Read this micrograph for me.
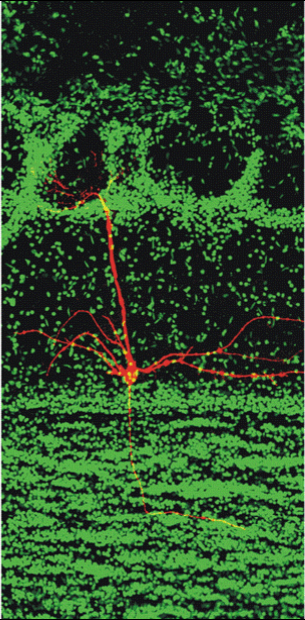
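Layered olfactory bulb section with a filled mitral cell whose cell body sits in a thin cell row above a dense, striped band of granule cell nuclei. Its apical dendrite crosses a wide layer of sparse nuclei and ends in a tuft within one round glomerulus ringed by densely packed nuclei, while lateral dendrites run horizontally through the sparse layer.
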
